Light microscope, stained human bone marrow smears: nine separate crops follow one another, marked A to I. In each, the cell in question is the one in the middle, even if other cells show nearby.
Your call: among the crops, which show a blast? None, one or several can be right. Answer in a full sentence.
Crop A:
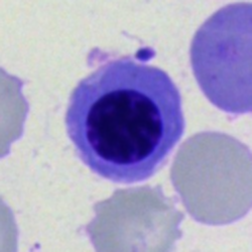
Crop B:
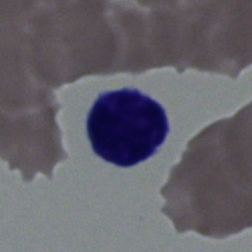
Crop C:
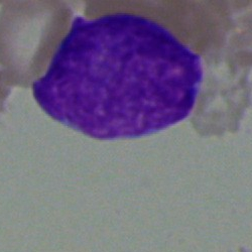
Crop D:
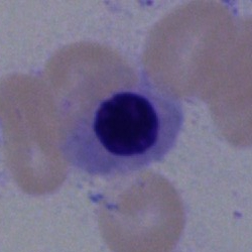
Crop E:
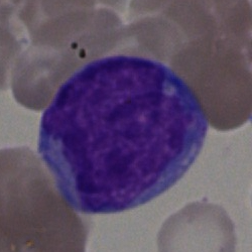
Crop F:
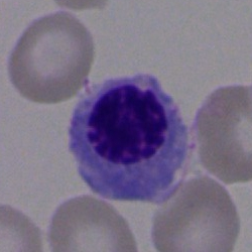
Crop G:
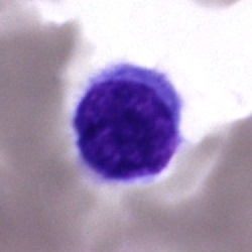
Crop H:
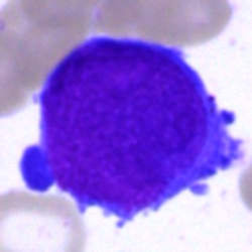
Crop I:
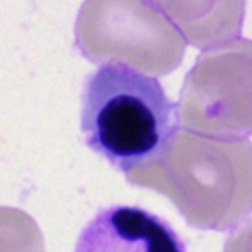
The cells sitting in the middle of crops C, E and H are blasts.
